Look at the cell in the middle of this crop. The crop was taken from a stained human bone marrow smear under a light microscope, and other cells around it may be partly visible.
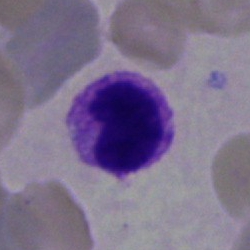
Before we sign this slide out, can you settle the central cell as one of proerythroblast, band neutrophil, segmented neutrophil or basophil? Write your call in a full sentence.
In this crop, the cell at the very middle is a basophil.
